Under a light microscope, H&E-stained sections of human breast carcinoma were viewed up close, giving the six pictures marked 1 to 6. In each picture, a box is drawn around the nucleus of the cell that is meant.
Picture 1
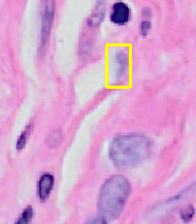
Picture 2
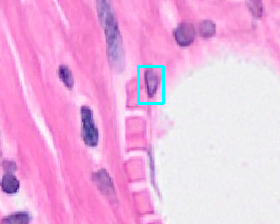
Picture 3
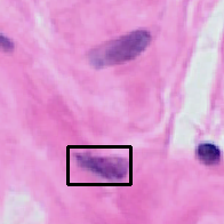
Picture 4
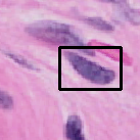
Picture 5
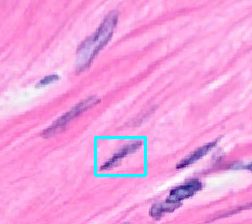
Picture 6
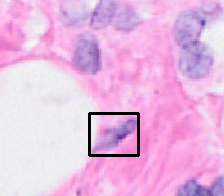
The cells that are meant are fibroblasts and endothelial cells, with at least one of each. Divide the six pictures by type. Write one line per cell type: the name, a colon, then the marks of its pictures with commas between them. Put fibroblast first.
fibroblast: 3, 5, 6
endothelial cell: 1, 2, 4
